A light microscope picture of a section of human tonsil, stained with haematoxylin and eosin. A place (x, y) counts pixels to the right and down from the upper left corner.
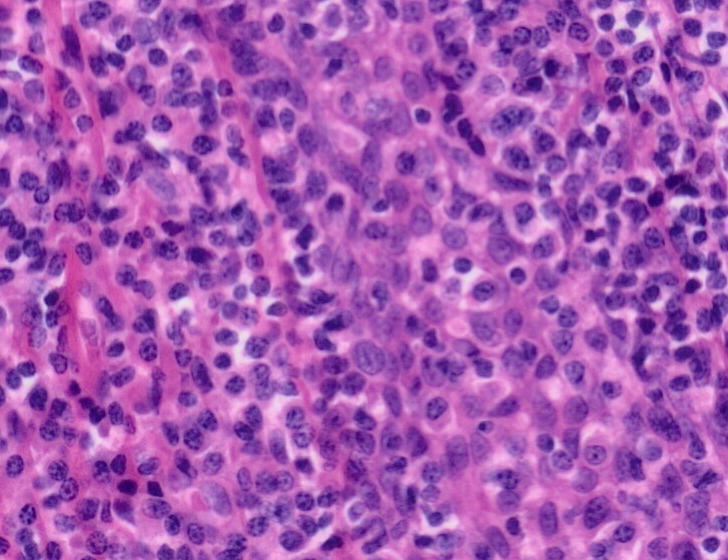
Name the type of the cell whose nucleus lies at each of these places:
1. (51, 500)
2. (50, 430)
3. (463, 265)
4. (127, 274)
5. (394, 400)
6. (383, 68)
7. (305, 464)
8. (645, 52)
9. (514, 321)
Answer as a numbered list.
1. plasma cell
2. plasma cell
3. squamous epithelial cell
4. plasma cell
5. squamous epithelial cell
6. squamous epithelial cell
7. plasma cell
8. plasma cell
9. squamous epithelial cell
